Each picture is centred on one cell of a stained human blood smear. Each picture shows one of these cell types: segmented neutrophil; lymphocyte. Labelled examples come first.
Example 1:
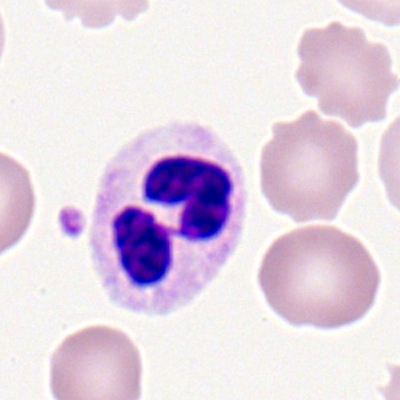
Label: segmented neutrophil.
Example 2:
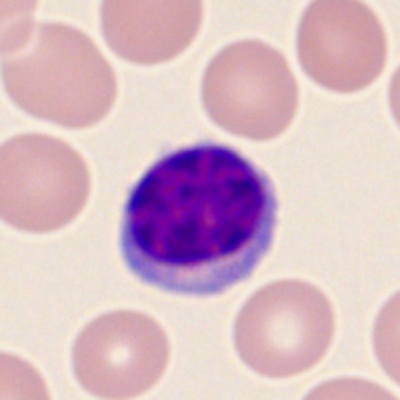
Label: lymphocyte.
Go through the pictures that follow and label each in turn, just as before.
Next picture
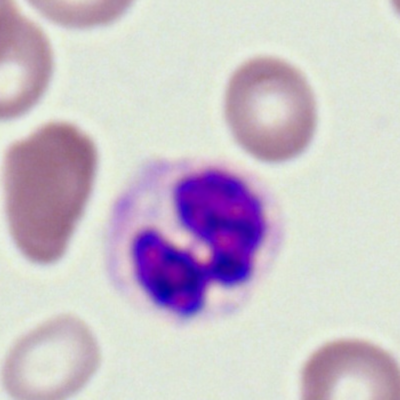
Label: segmented neutrophil.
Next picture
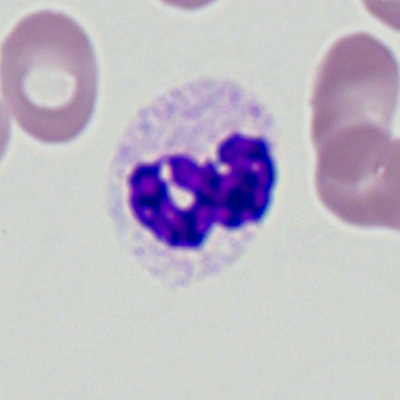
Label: segmented neutrophil.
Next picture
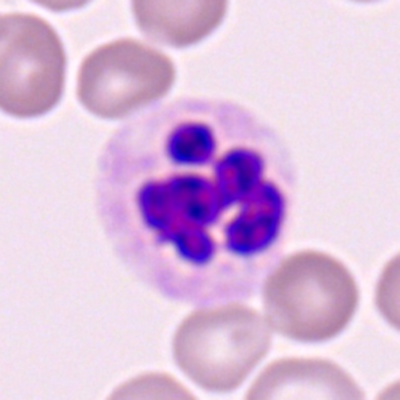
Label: segmented neutrophil.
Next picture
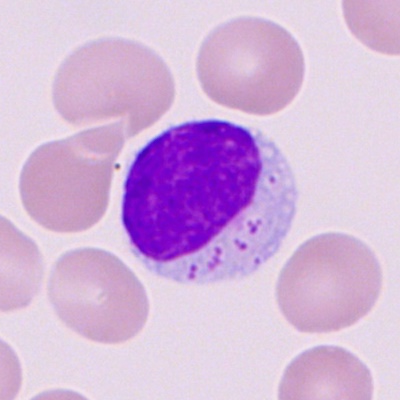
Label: lymphocyte.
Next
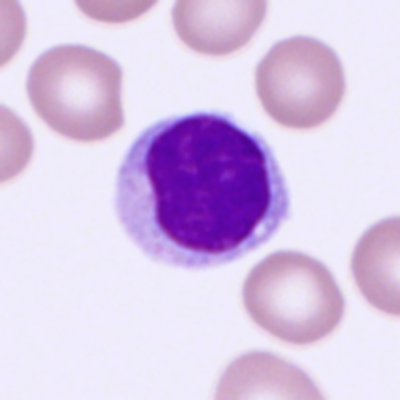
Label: lymphocyte.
